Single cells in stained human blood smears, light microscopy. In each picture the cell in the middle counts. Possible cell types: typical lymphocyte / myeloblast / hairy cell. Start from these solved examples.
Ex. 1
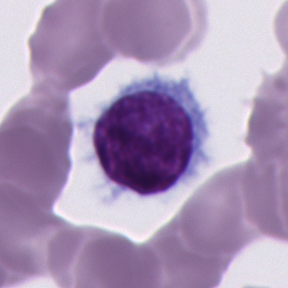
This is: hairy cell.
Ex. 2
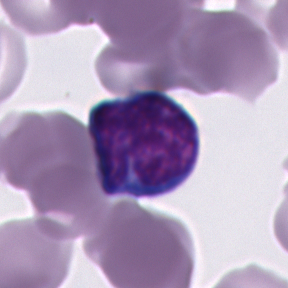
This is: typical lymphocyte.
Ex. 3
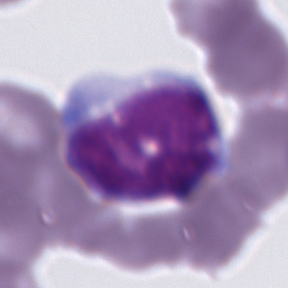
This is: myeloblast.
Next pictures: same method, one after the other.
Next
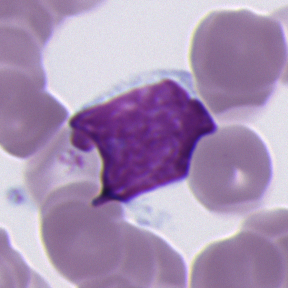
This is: typical lymphocyte.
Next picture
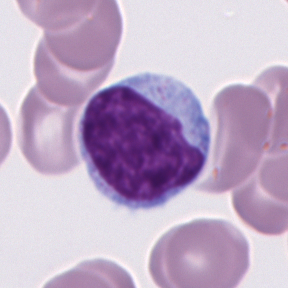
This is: typical lymphocyte.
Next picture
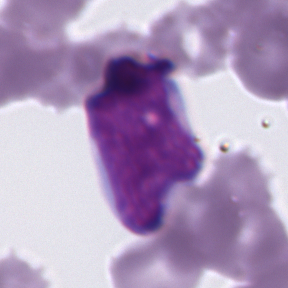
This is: myeloblast.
